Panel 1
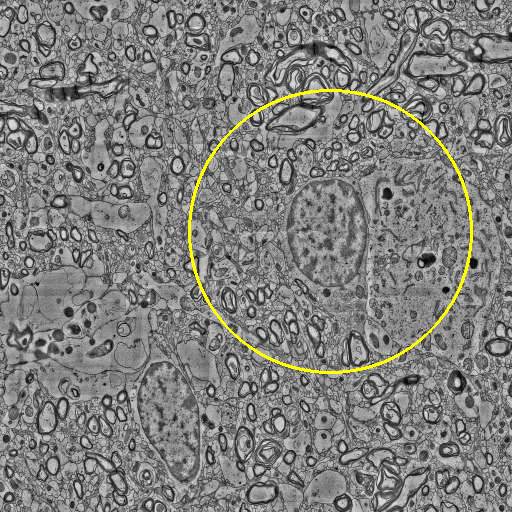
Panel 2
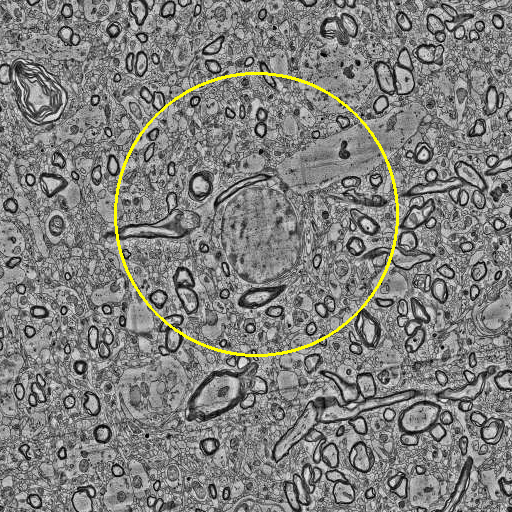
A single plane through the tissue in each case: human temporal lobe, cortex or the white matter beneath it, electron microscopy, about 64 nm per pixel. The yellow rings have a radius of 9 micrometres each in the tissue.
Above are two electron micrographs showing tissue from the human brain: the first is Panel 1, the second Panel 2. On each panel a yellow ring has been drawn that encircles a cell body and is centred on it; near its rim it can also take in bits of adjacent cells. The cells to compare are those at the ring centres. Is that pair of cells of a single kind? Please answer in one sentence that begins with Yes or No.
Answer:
No, the ring-centred cells of Panel 1 and Panel 2 belong to two kinds.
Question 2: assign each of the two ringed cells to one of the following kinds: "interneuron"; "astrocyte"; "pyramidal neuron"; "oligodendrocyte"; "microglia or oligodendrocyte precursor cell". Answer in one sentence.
The two cells are an oligodendrocyte in the first picture and a microglial cell or oligodendrocyte precursor cell in the second.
